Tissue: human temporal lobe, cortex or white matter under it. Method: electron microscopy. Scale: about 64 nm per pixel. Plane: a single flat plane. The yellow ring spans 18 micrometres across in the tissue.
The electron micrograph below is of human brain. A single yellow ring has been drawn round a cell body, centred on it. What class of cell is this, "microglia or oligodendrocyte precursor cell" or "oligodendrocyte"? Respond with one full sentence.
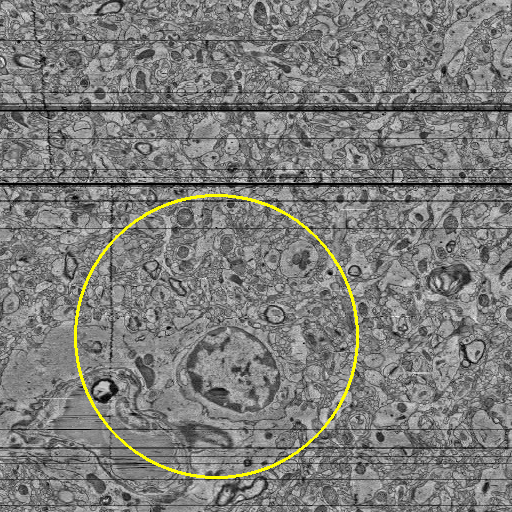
In the micrograph, the cell centred inside the yellow ring is a microglial cell or oligodendrocyte precursor cell.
